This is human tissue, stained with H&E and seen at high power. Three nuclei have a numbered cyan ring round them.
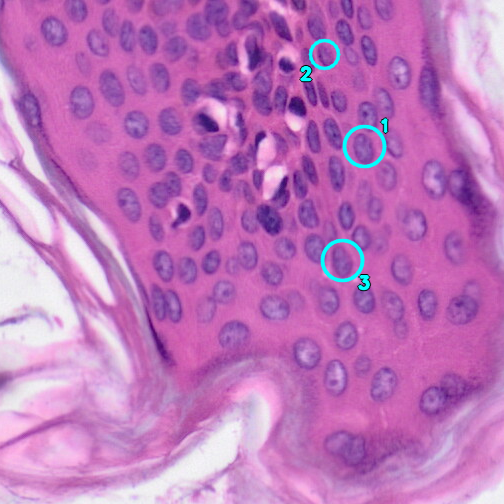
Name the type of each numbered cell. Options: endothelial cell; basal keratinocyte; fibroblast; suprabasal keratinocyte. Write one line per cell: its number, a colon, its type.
1: suprabasal keratinocyte
2: basal keratinocyte
3: suprabasal keratinocyte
